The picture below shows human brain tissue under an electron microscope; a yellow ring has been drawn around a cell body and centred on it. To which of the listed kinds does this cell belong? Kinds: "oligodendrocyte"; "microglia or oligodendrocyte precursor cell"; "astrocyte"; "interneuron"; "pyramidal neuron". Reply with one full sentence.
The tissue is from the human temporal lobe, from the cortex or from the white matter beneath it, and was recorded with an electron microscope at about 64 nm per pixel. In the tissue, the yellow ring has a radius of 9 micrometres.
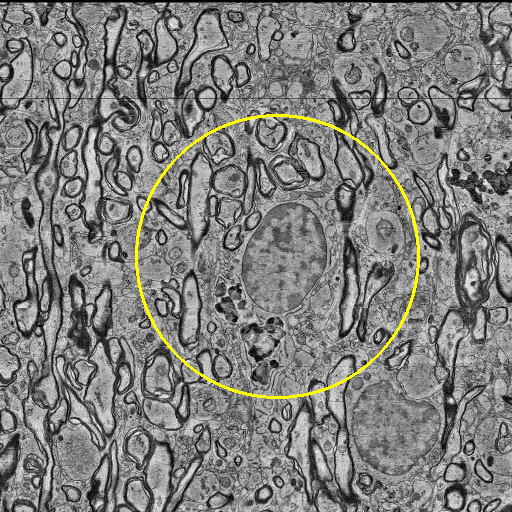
It is a microglial cell or oligodendrocyte precursor cell that the yellow ring in the picture is centred on.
